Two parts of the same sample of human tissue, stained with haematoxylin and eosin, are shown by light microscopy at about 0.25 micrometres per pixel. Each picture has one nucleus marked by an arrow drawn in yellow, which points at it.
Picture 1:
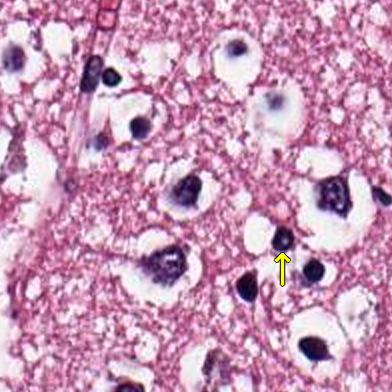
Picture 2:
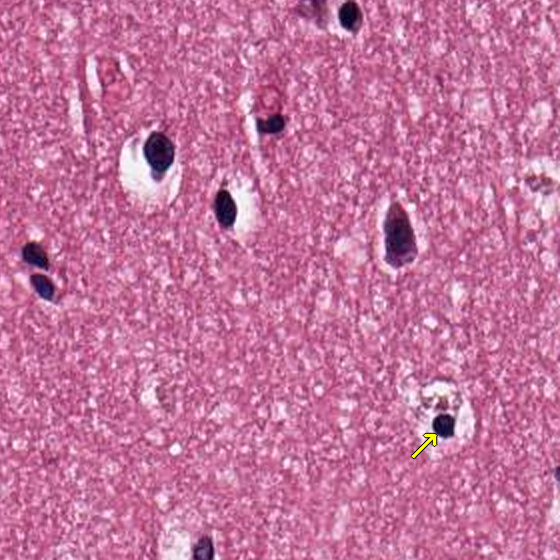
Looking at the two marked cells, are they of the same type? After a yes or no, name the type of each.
Yes, both are oligodendrocytes.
